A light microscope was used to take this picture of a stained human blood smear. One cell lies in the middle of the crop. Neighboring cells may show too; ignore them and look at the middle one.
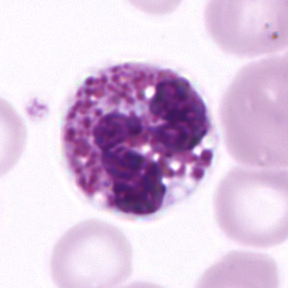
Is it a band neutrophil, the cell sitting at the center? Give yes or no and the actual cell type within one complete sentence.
No, the cell in the middle is recognised as an eosinophil rather than a band neutrophil.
